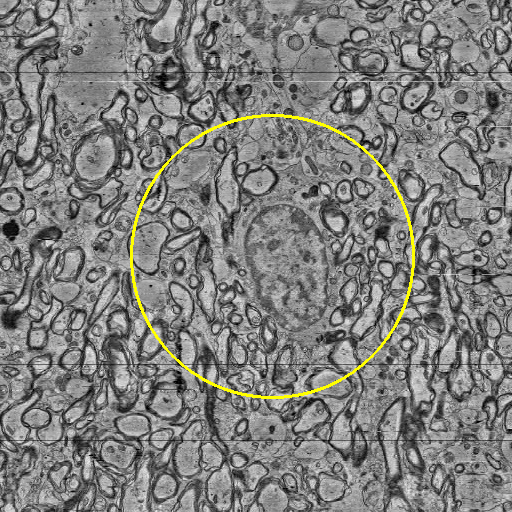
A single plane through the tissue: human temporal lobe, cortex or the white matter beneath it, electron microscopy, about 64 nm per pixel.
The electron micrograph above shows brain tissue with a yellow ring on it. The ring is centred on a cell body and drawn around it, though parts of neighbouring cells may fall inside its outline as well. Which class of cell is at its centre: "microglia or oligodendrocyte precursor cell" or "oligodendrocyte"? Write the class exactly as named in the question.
oligodendrocyte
